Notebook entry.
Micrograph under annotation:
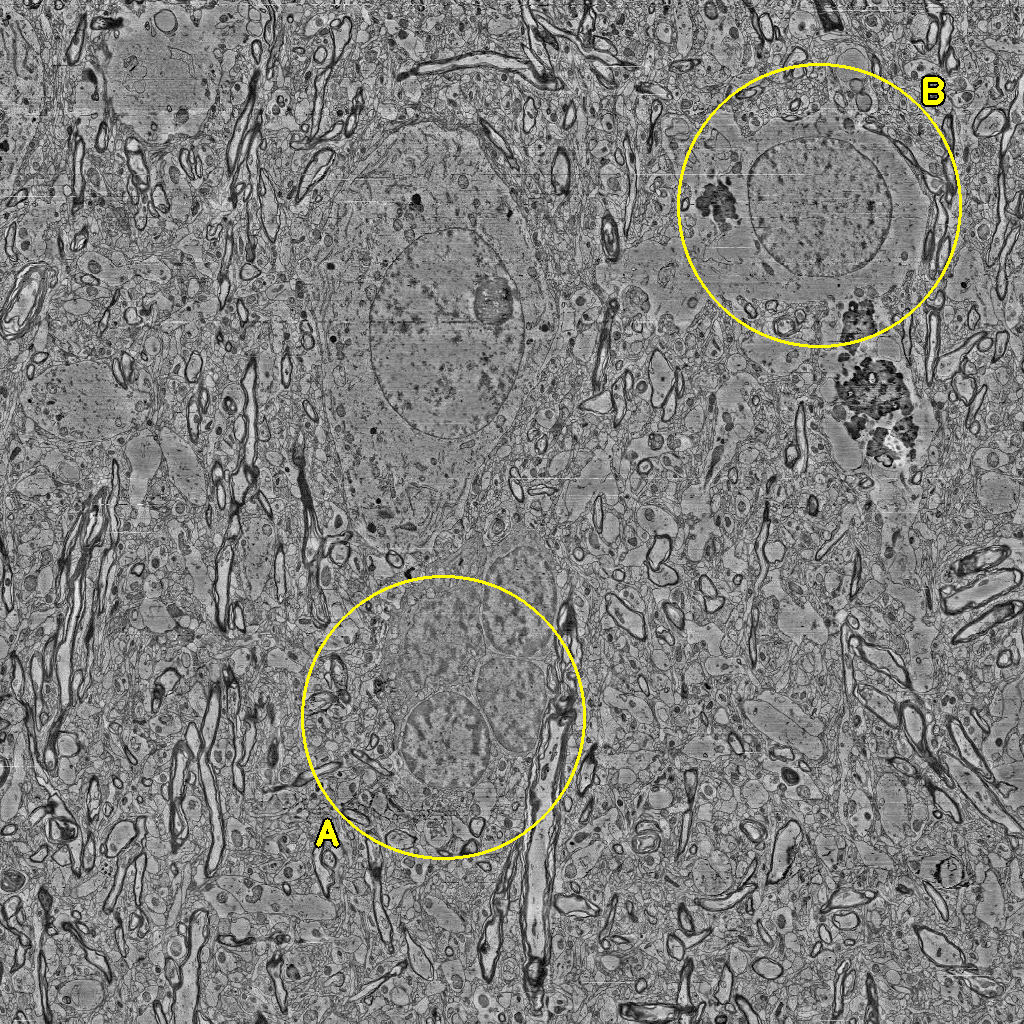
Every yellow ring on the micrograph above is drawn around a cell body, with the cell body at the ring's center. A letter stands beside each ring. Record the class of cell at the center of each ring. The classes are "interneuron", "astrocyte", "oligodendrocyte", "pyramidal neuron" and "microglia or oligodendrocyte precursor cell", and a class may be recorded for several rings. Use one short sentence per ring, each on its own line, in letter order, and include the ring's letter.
Ring A is centered on an oligodendrocyte.
Ring B is centered on an astrocyte.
